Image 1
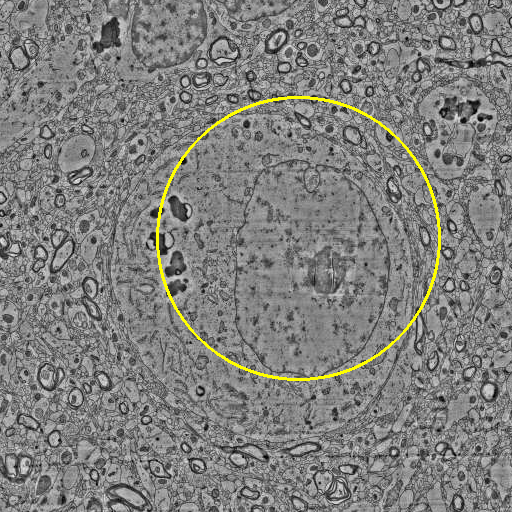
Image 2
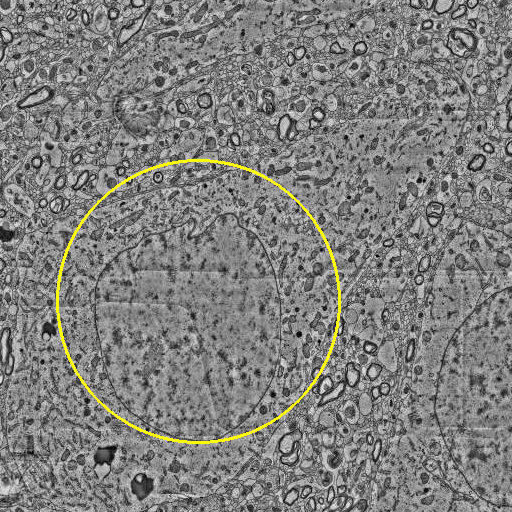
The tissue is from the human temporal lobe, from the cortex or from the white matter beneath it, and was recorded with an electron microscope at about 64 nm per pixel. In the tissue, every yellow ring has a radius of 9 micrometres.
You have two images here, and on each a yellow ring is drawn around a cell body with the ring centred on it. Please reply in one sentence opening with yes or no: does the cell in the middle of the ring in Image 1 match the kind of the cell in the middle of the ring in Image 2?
Yes, the two images show cells of one kind at the centres of their rings.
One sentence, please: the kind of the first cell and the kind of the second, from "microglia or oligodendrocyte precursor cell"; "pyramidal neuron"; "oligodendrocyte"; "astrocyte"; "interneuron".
Each cell, in the first picture and the second, is a pyramidal neuron.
